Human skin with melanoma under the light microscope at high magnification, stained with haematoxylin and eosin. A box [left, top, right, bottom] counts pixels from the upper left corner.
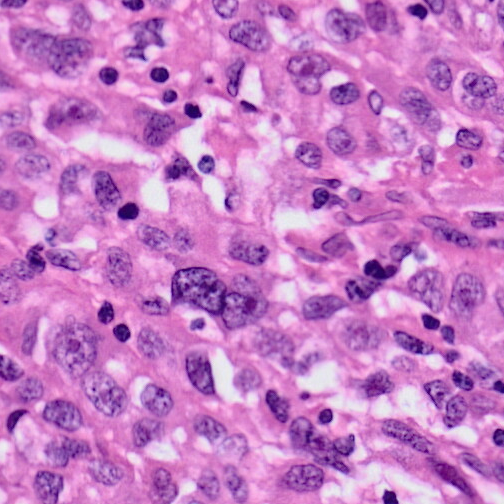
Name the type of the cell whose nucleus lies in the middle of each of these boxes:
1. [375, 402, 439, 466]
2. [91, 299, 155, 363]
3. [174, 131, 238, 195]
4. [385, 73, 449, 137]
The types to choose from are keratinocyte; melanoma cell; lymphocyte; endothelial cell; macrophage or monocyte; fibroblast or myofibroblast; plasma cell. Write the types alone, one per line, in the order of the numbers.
melanoma cell
lymphocyte
lymphocyte
melanoma cell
